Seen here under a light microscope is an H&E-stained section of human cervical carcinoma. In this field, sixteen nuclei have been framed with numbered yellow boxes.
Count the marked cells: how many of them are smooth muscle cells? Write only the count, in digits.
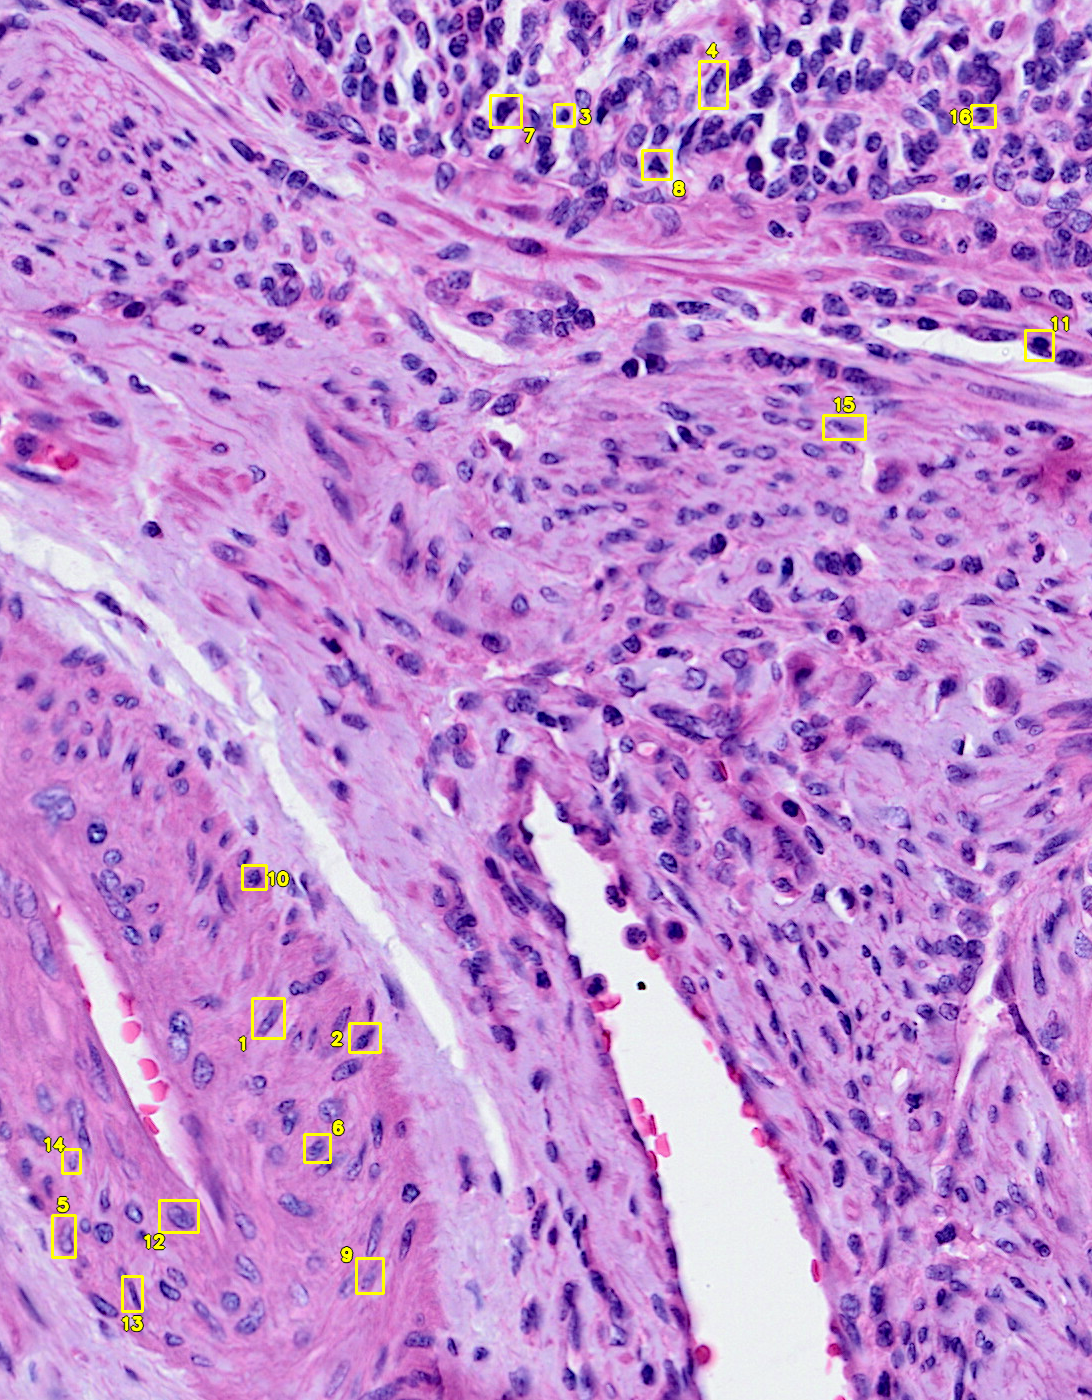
9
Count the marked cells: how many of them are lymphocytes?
6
